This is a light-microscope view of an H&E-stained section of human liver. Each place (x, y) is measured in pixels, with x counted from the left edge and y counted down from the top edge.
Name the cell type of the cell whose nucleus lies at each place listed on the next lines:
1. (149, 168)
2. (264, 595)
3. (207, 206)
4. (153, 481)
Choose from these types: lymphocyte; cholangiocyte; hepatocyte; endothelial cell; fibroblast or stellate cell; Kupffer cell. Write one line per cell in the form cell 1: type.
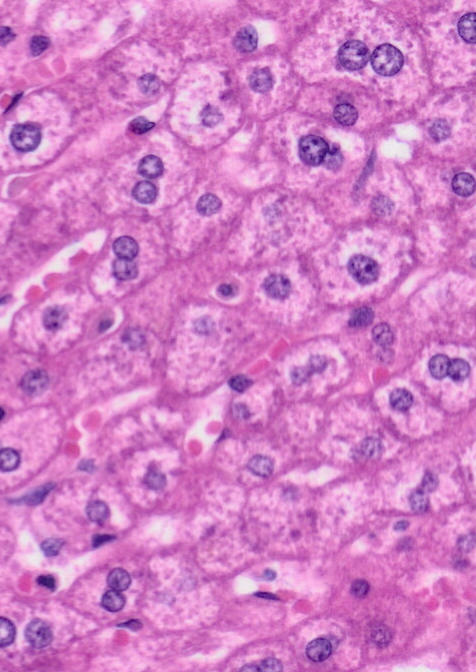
cell 1: hepatocyte
cell 2: endothelial cell
cell 3: hepatocyte
cell 4: hepatocyte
